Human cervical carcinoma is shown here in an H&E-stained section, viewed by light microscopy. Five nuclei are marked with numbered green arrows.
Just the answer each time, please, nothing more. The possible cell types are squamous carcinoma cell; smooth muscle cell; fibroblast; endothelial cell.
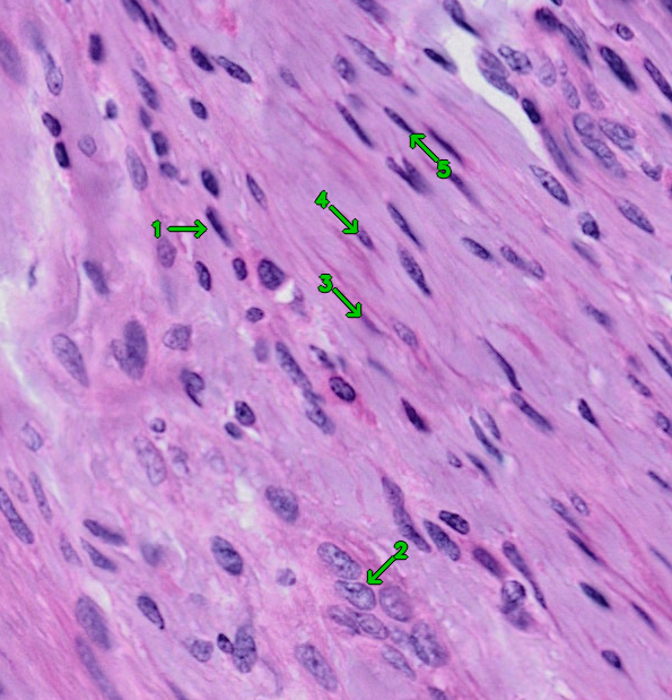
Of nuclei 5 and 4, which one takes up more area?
5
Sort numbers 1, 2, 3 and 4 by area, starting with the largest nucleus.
2, 1, 3, 4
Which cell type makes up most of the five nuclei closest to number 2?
endothelial cell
